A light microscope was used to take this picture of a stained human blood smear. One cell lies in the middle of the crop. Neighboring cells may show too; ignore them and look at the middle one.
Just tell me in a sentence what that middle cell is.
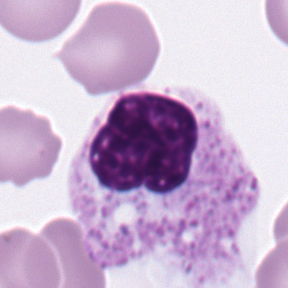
By type, the central cell of the crop is a segmented neutrophil.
